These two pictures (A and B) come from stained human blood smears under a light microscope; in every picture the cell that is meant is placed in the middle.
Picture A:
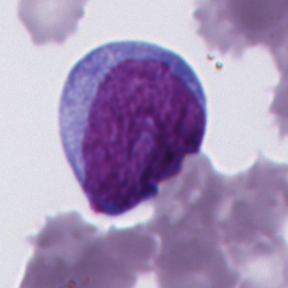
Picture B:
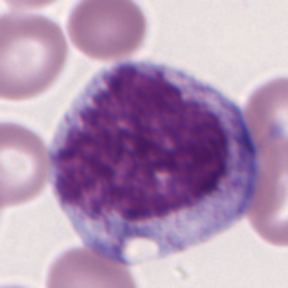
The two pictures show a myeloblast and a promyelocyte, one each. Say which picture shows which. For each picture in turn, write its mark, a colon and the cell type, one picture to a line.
A: myeloblast
B: promyelocyte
